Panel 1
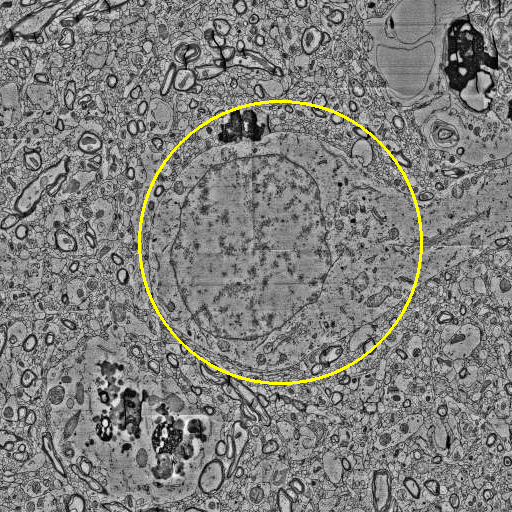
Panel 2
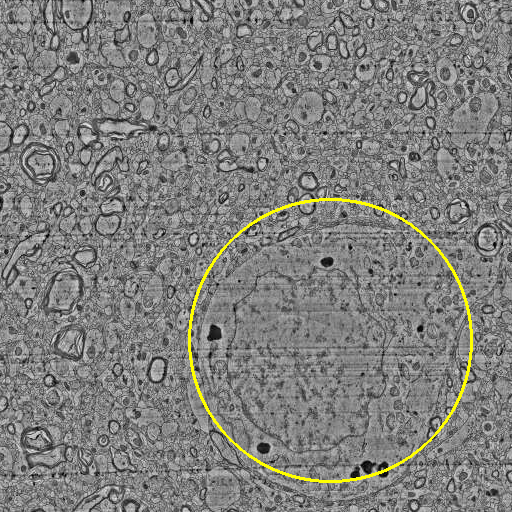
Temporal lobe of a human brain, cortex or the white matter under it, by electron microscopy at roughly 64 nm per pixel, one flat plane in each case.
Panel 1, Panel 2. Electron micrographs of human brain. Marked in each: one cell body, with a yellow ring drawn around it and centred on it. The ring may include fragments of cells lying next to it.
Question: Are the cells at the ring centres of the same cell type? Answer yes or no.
yes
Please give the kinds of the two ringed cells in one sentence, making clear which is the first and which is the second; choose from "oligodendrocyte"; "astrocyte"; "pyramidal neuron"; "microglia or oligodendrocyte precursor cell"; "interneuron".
In the first picture and in the second, the ring is centred on a pyramidal neuron.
